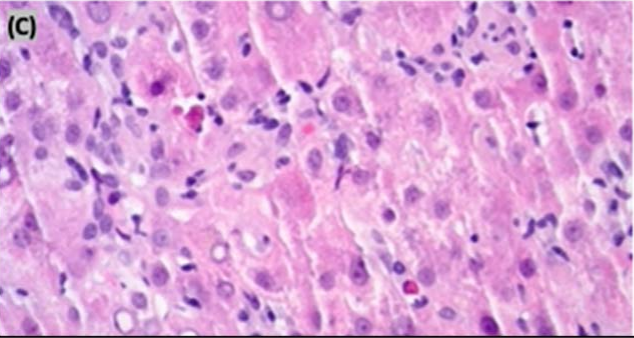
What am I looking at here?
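Here the liver lobule is seen at higher power, with plates of large polygonal hepatocytes with pink cytoplasm and round nuclei, often with visible nucleoli. Small lymphocytes with dark nuclei lie between and along the plates, and a few eosinophils with bright red granular cytoplasm stand out among them. Some hepatocytes look paler or irregular and disrupted, in keeping with damaged liver cells.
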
